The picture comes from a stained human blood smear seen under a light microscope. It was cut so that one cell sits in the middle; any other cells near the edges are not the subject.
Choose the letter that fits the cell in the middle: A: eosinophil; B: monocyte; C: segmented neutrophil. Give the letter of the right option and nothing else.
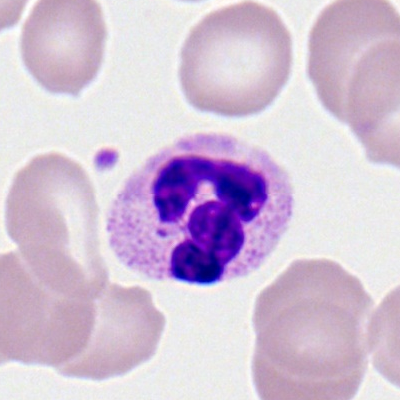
C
